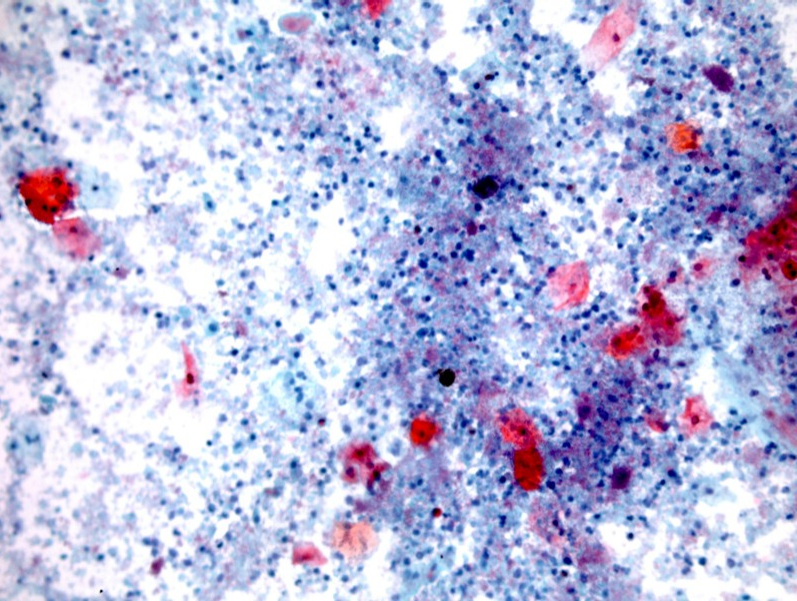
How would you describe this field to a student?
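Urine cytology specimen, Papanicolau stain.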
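The squamous cells are large, flat and polygonal to irregular in outline. Many of them have dense, bright red to orange cytoplasm. Others are paler pink. The background is crowded with many small cells with dark nuclei, which are polymorphs, lying within pale blue, granular, amorphous material.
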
